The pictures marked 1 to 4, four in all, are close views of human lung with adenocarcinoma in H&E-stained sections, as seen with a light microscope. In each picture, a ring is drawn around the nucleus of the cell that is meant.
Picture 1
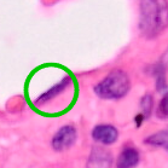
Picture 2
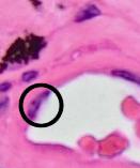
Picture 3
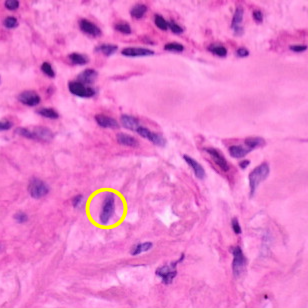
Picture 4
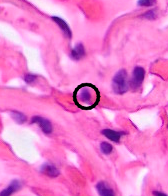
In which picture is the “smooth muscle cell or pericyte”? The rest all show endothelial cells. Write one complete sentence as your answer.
The picture with the “smooth muscle cell or pericyte” is 3.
